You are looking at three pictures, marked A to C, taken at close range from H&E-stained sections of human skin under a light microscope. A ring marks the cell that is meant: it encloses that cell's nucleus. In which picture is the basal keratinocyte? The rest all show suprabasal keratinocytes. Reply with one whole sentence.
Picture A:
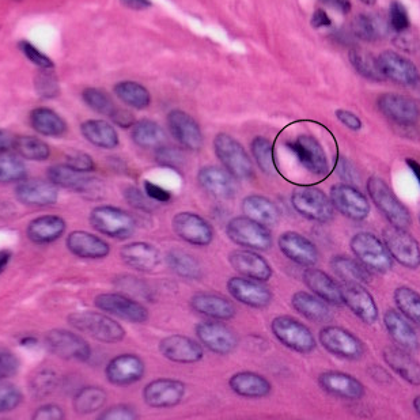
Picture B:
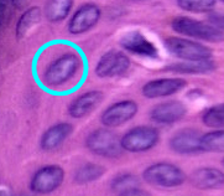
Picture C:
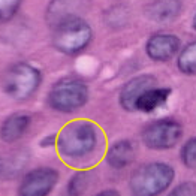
It is picture A that shows the basal keratinocyte.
